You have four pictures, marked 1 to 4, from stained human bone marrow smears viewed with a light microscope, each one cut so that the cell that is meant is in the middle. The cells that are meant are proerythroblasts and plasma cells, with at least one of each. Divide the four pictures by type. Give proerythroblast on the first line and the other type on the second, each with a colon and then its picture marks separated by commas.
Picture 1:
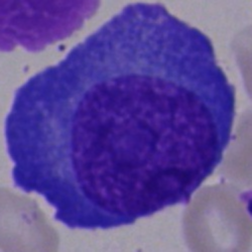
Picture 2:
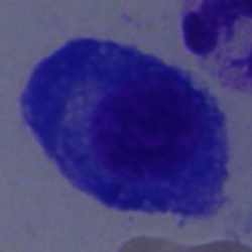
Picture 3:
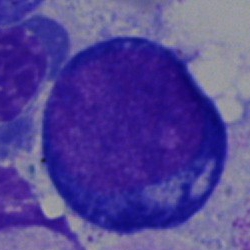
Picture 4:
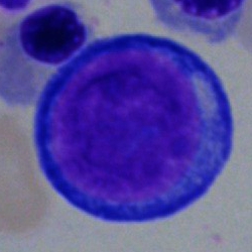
proerythroblast: 3, 4
plasma cell: 1, 2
